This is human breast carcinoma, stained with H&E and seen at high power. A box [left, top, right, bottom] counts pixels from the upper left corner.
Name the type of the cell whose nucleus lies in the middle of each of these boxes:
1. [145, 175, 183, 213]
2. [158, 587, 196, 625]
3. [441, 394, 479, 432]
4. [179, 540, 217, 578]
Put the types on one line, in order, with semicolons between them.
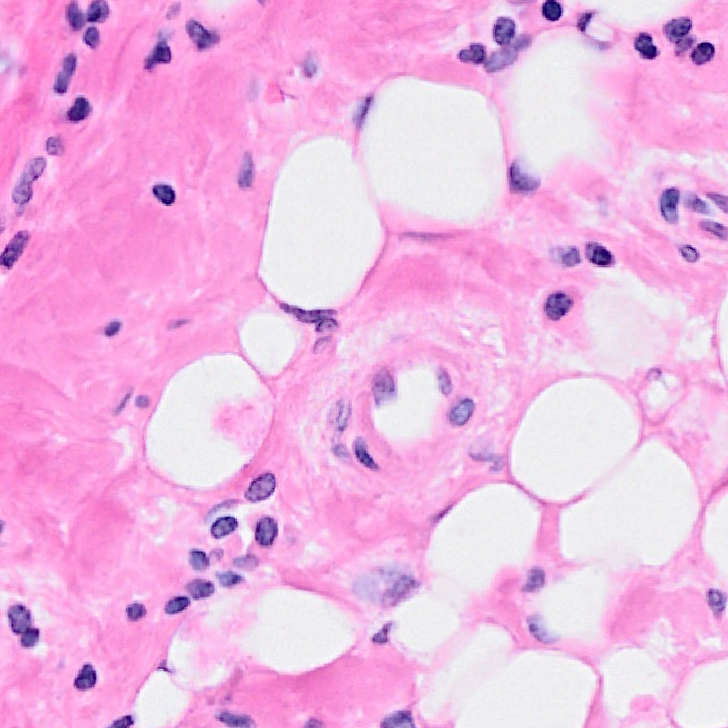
lymphocyte; lymphocyte; endothelial cell; lymphocyte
